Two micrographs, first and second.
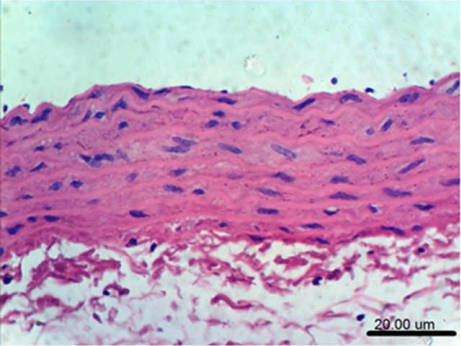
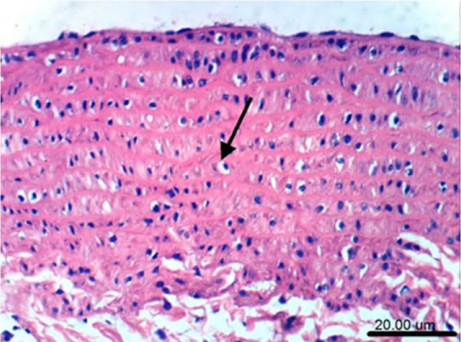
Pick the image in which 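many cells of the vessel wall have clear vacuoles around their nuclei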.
The second image.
